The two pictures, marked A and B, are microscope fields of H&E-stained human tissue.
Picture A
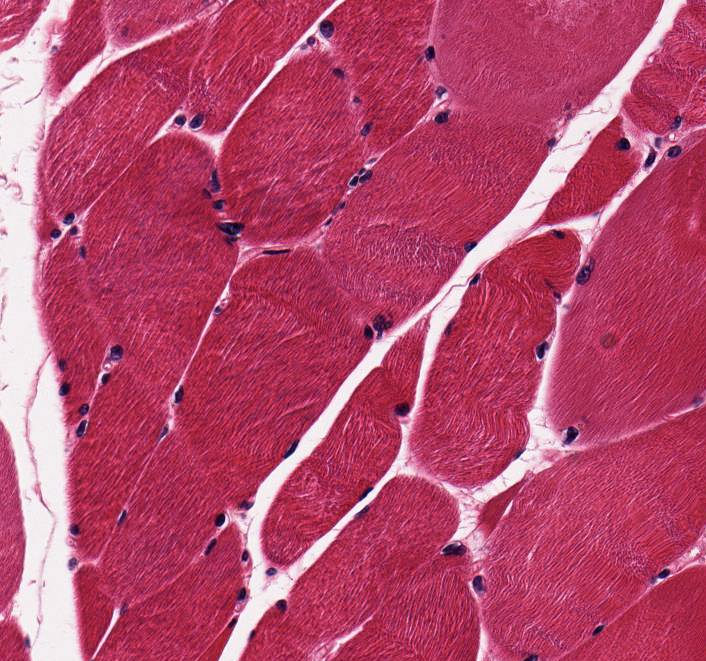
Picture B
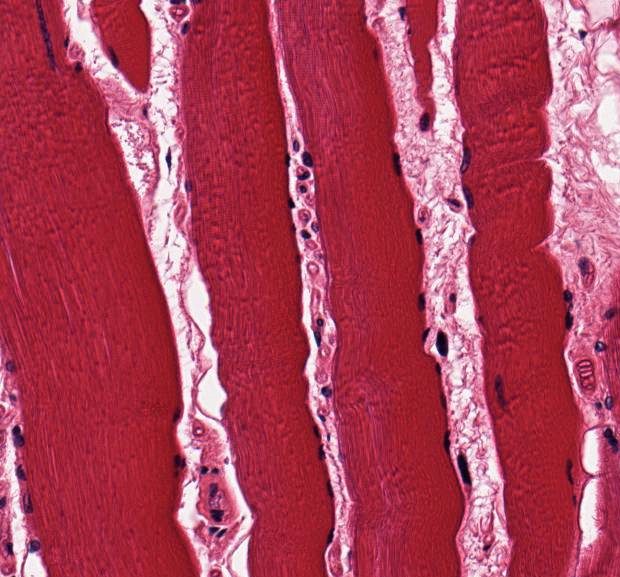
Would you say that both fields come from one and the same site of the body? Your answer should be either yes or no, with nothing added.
yes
